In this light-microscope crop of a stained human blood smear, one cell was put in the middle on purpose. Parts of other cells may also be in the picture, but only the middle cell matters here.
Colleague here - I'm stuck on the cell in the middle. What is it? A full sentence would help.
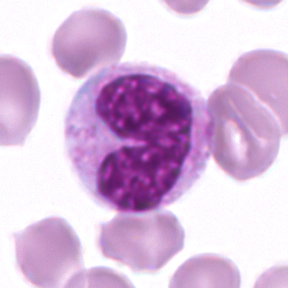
The cell centred in this crop is categorized as a band neutrophil.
